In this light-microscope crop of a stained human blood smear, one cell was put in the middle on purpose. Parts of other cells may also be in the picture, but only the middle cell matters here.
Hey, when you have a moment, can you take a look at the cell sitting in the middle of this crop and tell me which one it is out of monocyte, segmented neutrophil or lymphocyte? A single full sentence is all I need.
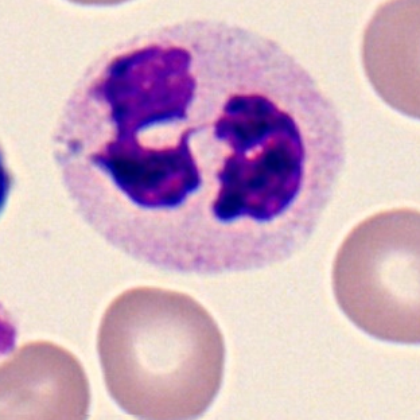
The cell occupying the middle of the crop is a segmented neutrophil.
